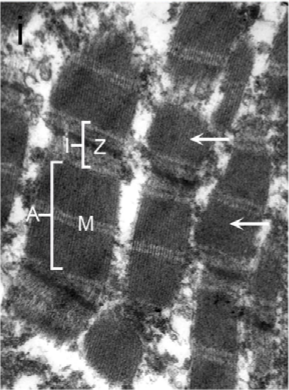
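Several thick parallel myofibrils run obliquely across the field, separated by paler gaps. Each is cross-striated in a regular repeating pattern: a broad electron-dense band alternates with a narrower pale band, and a thin dark line bisects each pale band, marking the boundaries of the repeating units. A faint paler zone with a fine central line lies in the middle of the dense band.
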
